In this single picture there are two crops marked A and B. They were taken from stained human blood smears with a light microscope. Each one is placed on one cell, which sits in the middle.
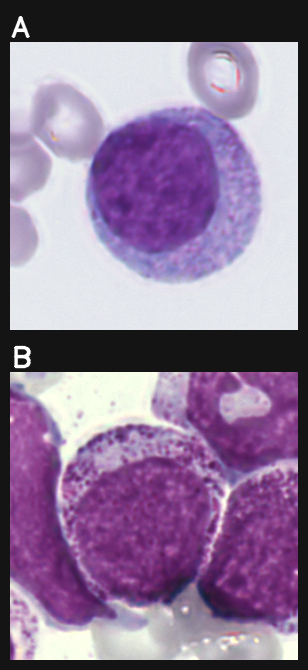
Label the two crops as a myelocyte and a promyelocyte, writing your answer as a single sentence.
Shown in crop A is a promyelocyte, and shown in crop B is a myelocyte.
